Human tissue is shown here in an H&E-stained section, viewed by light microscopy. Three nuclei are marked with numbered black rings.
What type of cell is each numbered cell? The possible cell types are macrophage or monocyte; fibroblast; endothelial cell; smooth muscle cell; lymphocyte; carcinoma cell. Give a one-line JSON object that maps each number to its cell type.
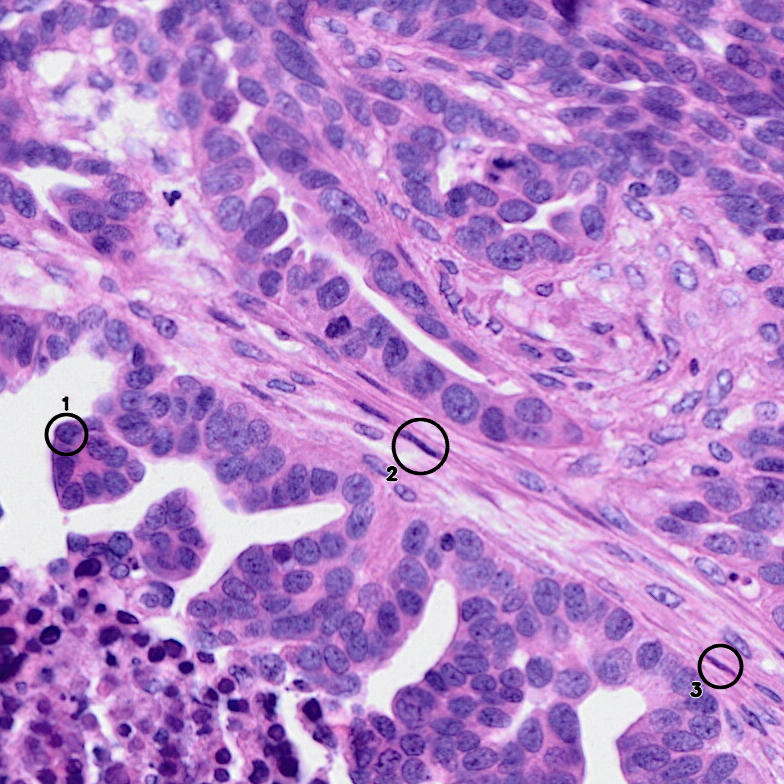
{"1": "carcinoma cell", "2": "fibroblast", "3": "fibroblast"}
